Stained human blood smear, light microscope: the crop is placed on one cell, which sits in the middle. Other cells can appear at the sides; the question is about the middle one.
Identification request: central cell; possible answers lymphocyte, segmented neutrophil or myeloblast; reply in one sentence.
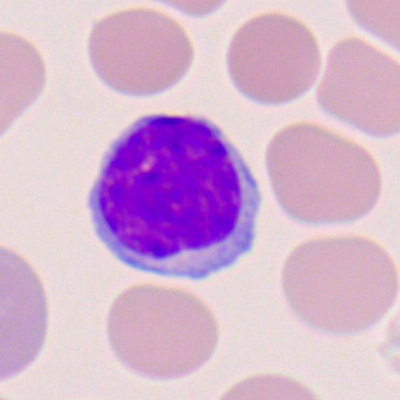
Centred in the crop is a lymphocyte.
